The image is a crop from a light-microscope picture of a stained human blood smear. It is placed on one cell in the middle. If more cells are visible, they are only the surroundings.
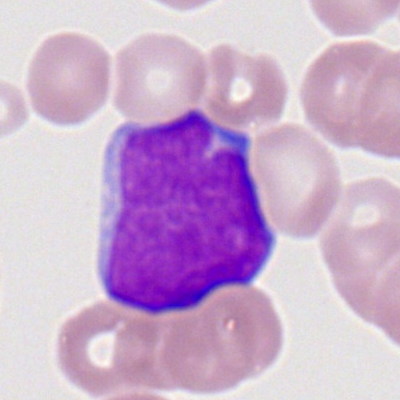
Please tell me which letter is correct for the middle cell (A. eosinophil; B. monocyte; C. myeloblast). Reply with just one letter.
C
